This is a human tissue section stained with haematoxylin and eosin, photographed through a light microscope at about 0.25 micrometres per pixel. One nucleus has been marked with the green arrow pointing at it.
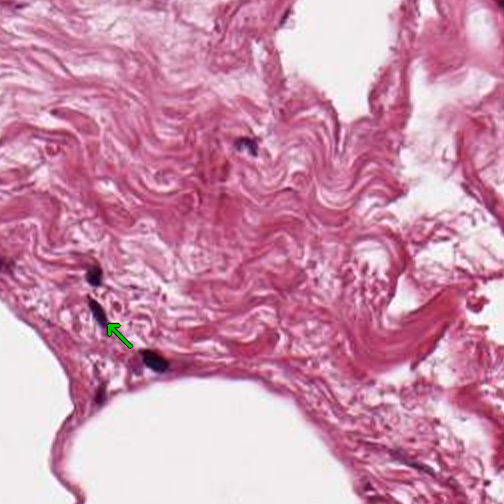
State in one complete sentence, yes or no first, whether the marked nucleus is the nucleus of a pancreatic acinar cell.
No, the marked nucleus is part of a supporting cell and does not belong to a pancreatic acinar cell.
